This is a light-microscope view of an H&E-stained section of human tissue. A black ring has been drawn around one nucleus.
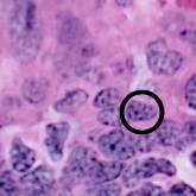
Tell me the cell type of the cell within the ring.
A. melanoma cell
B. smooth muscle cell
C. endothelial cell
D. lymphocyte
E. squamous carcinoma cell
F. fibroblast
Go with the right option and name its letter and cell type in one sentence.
Option E is the one to take: the cell within the ring is a squamous carcinoma cell.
